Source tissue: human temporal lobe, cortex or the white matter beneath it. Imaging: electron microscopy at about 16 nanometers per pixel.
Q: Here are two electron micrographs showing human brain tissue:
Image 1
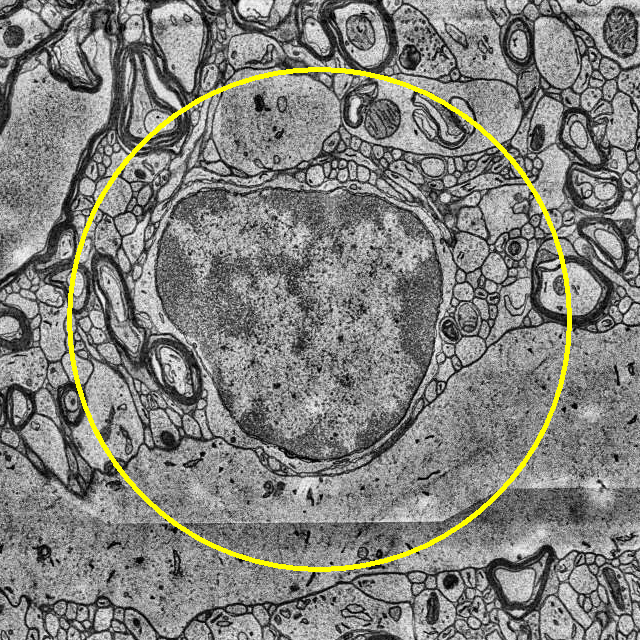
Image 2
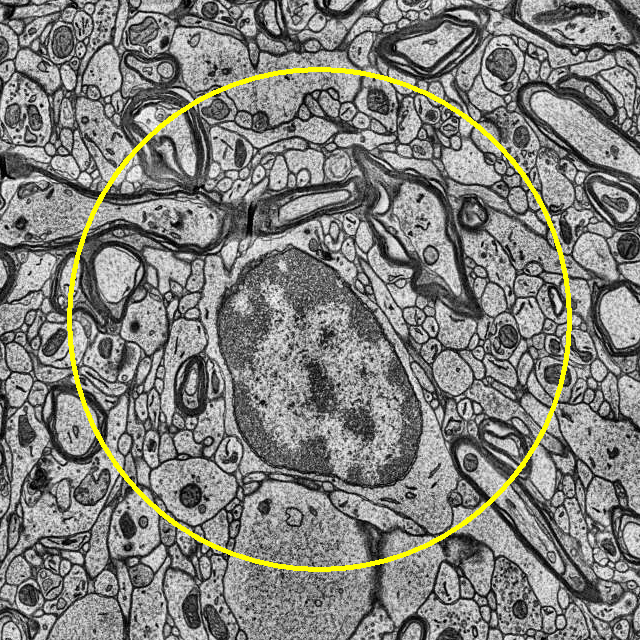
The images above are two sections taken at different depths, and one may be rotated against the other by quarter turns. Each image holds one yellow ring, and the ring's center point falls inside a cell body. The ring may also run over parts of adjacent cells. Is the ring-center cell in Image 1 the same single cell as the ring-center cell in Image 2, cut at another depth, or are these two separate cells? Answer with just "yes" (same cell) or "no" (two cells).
yes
